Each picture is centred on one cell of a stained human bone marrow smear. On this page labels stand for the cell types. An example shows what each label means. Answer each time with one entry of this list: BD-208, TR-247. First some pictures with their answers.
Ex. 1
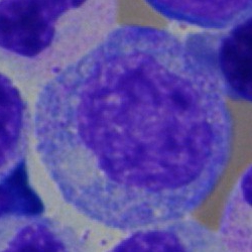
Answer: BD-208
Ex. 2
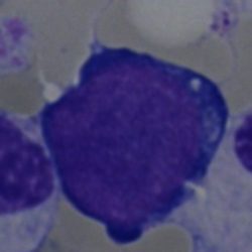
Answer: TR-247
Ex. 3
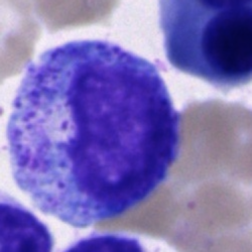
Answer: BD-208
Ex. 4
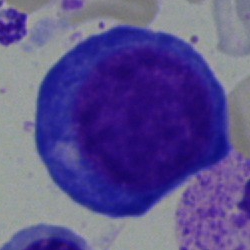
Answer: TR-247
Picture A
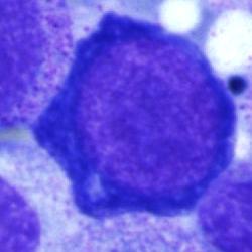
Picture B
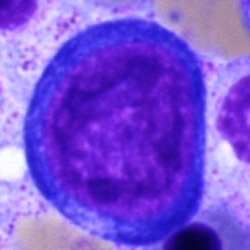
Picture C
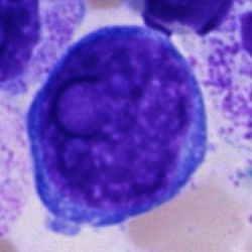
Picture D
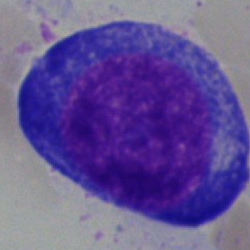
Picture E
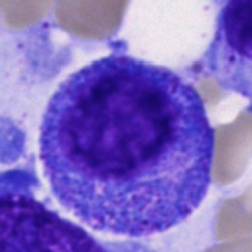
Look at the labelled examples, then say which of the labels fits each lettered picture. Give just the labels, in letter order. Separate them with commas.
TR-247, TR-247, TR-247, TR-247, BD-208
